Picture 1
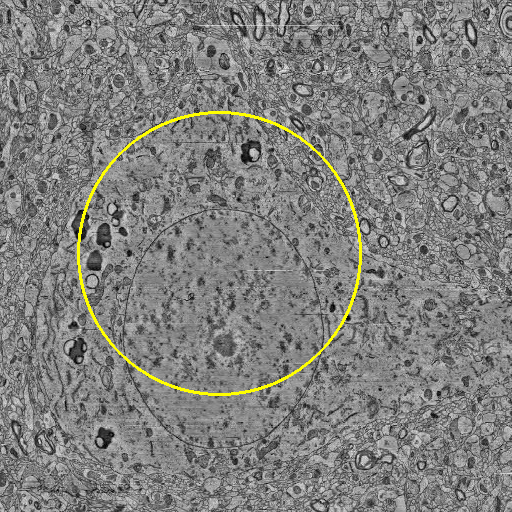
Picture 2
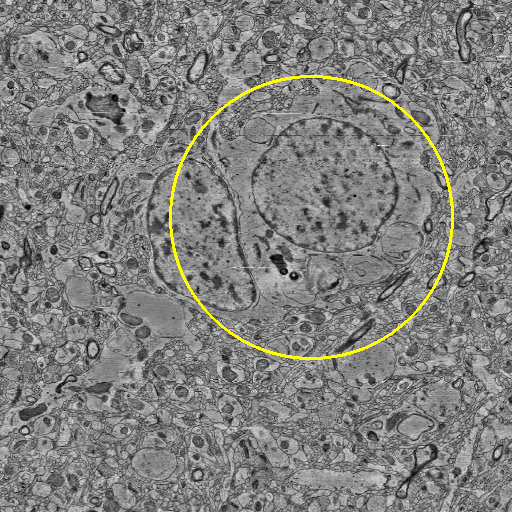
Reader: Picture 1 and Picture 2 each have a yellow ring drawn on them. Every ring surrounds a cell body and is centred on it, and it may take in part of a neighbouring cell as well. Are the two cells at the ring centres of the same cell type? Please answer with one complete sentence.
No, the cells are of two cell types.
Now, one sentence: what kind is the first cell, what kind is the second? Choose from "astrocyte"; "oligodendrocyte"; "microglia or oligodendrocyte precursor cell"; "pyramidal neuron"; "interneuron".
The first picture has a pyramidal neuron at its ring centre, and the second has an astrocyte.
